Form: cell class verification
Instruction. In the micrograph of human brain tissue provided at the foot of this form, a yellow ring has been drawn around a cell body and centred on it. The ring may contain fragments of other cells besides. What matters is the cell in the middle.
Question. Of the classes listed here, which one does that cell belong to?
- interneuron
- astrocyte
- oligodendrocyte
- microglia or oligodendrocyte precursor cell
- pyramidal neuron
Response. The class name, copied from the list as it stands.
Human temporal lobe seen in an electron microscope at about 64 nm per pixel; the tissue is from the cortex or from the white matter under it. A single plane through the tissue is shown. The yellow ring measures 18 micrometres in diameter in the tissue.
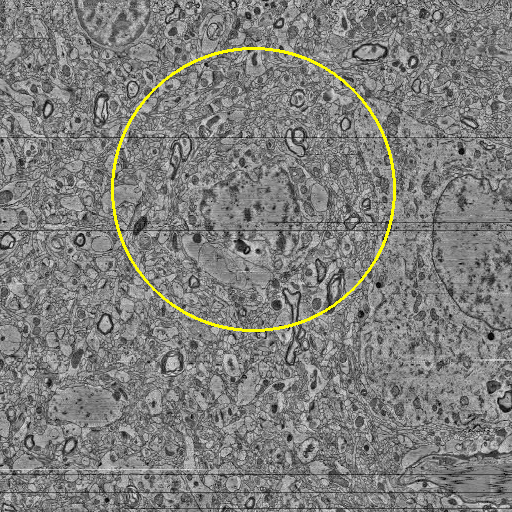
interneuron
